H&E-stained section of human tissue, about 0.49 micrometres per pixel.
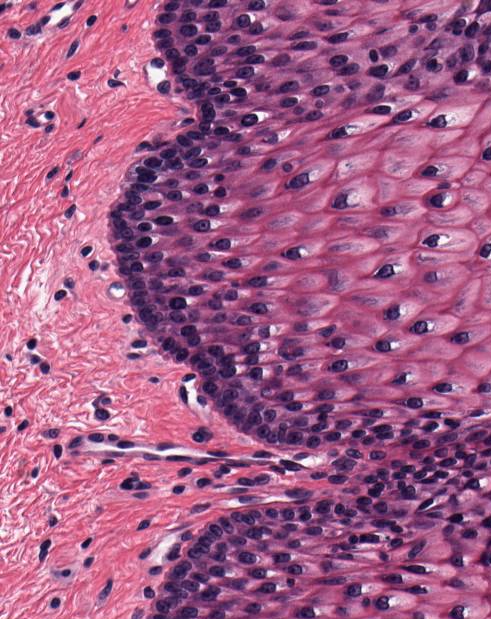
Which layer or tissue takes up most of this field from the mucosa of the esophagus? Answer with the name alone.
stratified squamous nonkeratinized epithelium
